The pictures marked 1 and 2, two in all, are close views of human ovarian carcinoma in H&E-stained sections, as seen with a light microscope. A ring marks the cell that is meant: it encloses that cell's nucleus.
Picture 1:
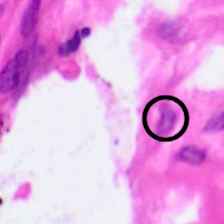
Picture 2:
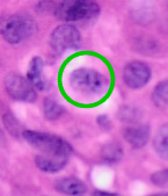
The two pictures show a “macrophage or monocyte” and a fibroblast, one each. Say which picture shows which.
1: fibroblast
2: macrophage or monocyte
